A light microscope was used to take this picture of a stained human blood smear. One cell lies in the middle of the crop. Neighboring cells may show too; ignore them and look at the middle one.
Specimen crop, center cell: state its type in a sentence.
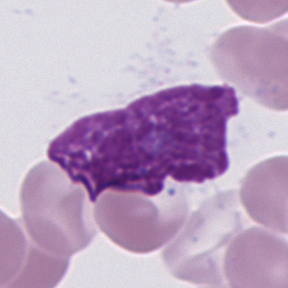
This crop has a smudge cell at its centre.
